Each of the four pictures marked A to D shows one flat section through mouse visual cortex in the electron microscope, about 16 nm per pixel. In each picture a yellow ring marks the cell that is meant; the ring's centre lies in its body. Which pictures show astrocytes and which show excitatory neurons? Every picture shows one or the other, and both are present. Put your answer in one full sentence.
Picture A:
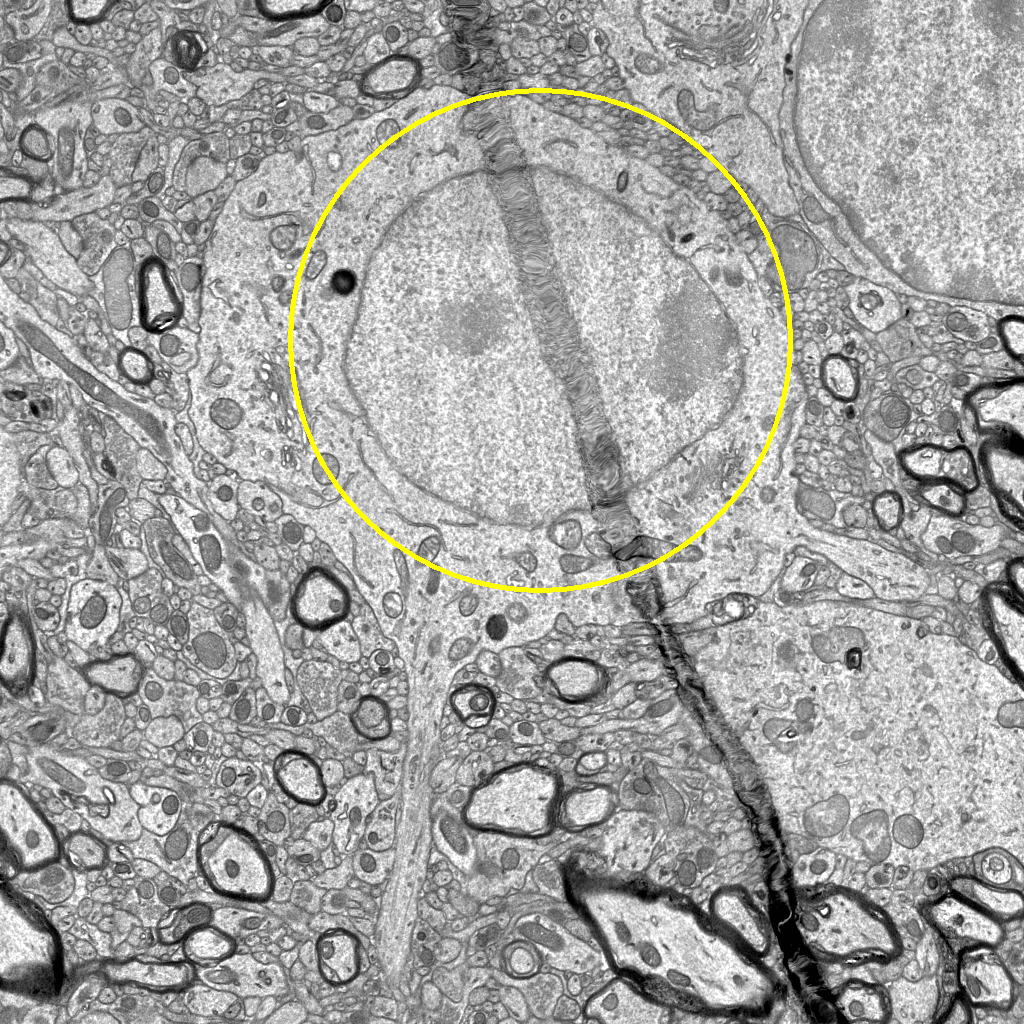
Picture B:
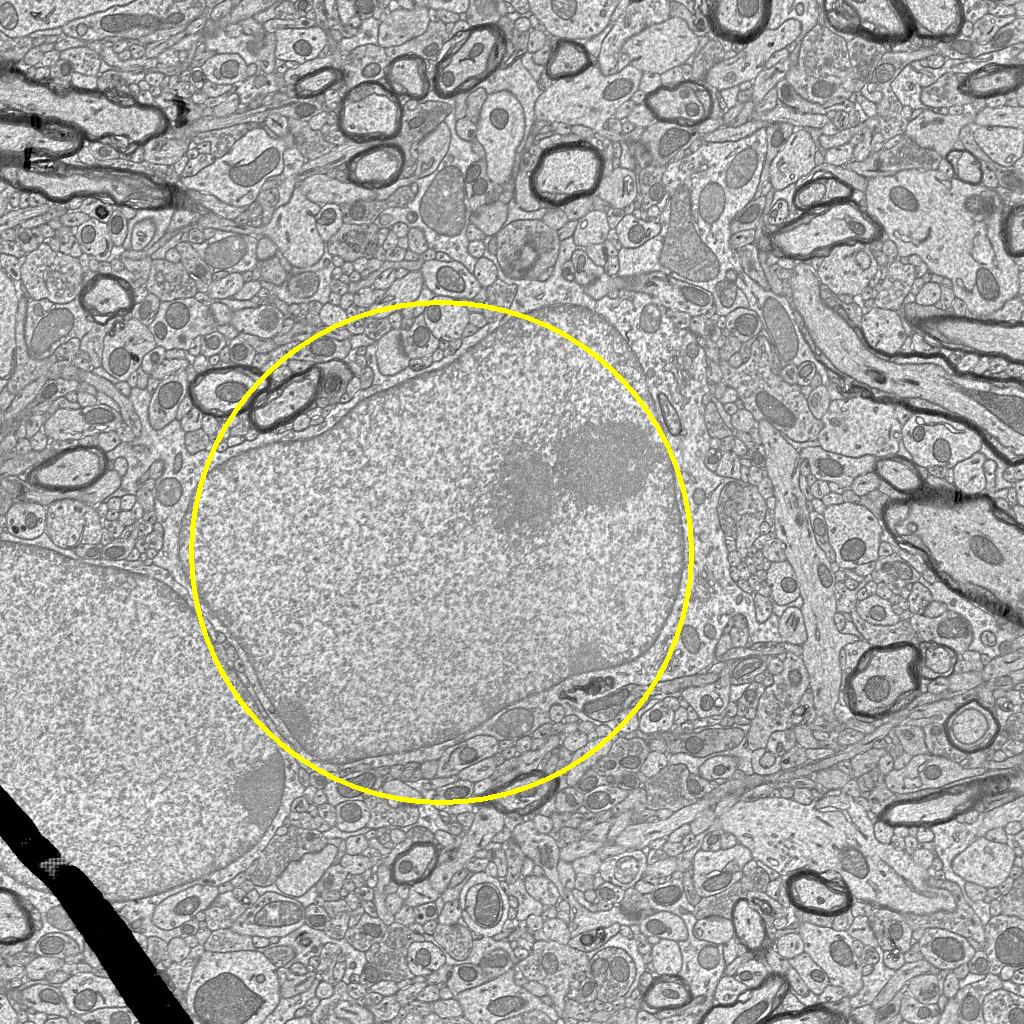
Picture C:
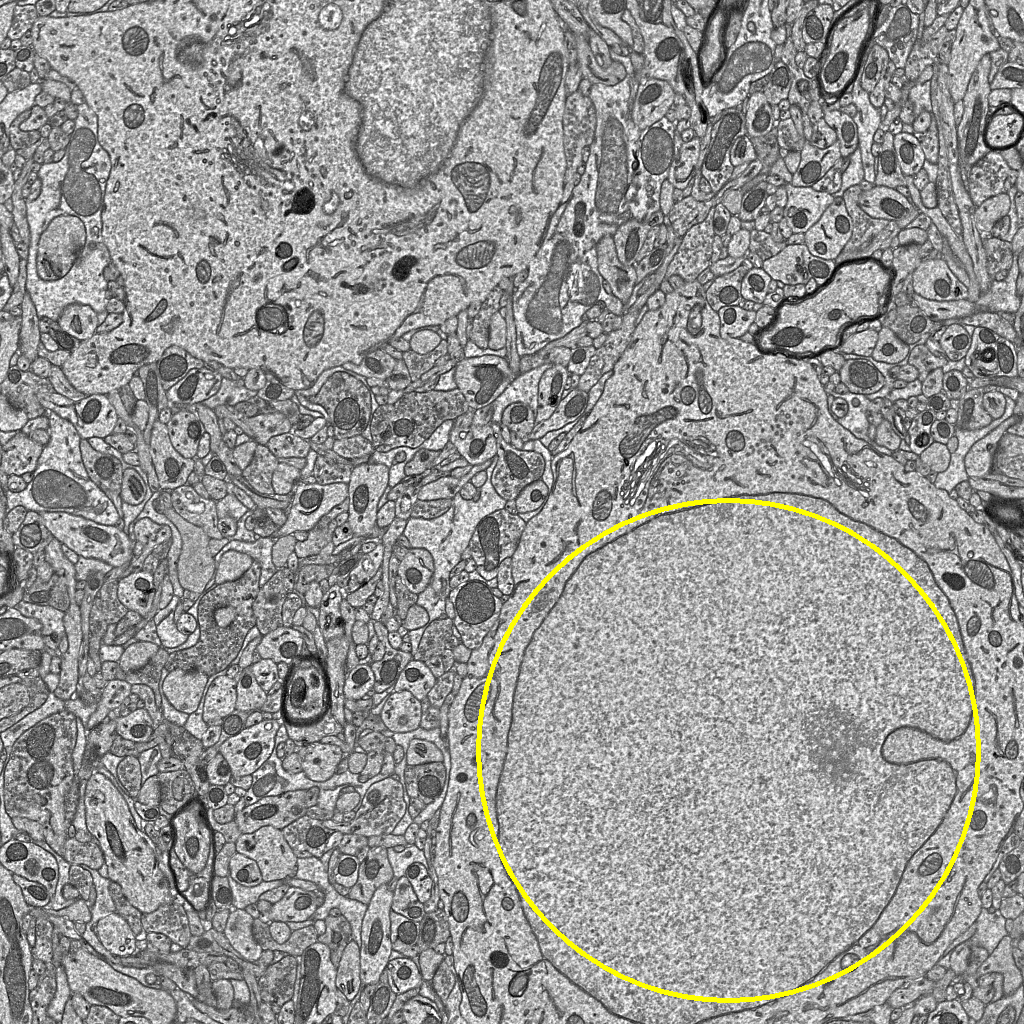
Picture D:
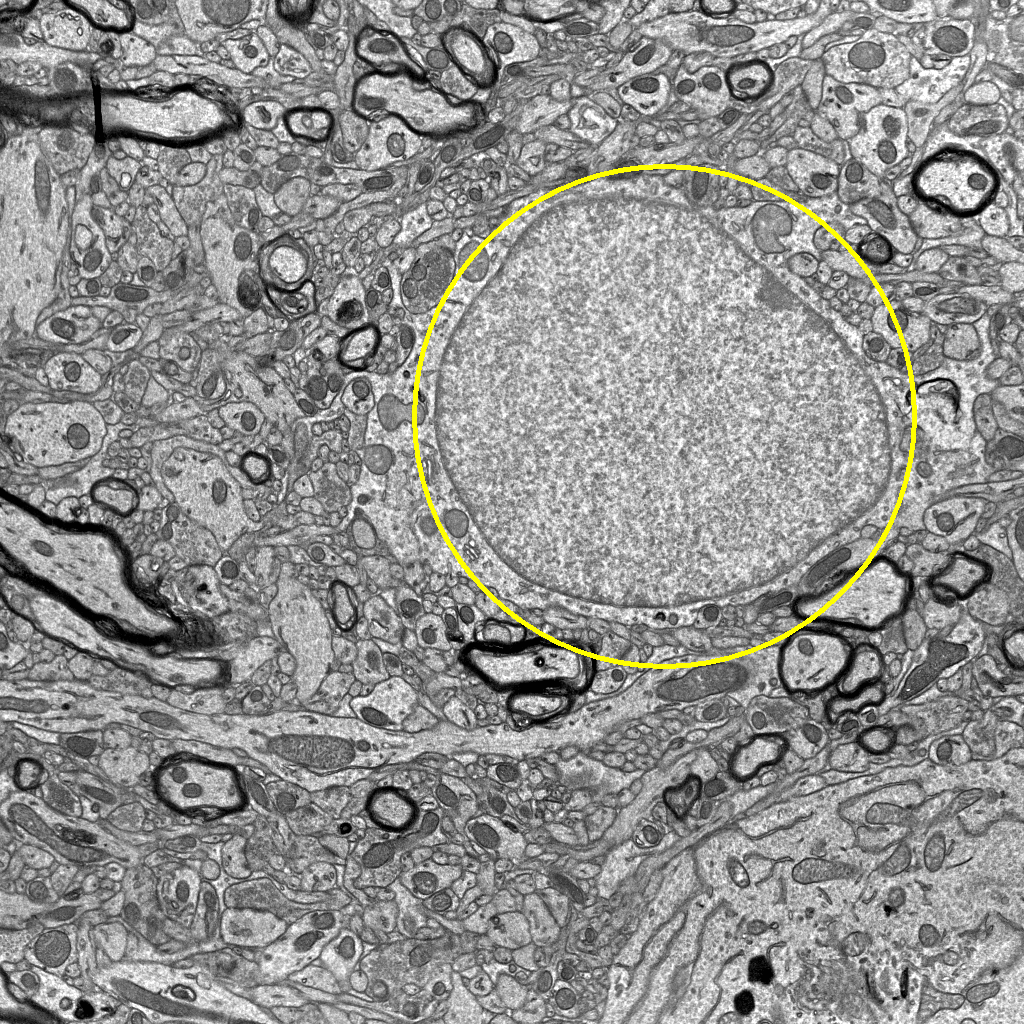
Pictures B and D show astrocytes, while pictures A and C show excitatory neurons.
